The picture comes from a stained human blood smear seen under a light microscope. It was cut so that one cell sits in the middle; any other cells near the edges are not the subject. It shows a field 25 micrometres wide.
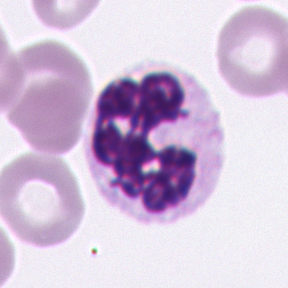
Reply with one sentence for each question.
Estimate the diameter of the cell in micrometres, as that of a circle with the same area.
The diameter of the cell comes to about 13 micrometres.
